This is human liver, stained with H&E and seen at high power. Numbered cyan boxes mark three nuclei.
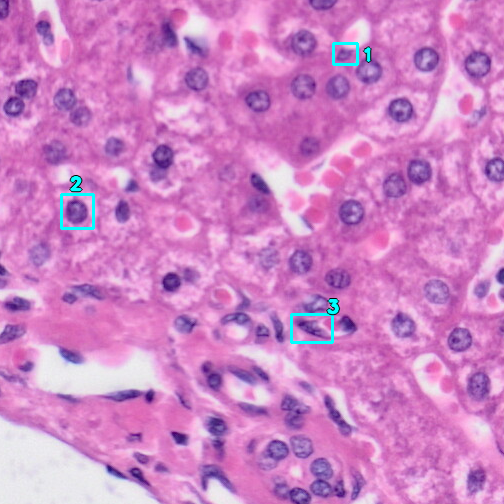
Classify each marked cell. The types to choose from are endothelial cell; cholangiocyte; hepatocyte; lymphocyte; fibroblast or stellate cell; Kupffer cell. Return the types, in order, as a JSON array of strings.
["fibroblast or stellate cell", "hepatocyte", "fibroblast or stellate cell"]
